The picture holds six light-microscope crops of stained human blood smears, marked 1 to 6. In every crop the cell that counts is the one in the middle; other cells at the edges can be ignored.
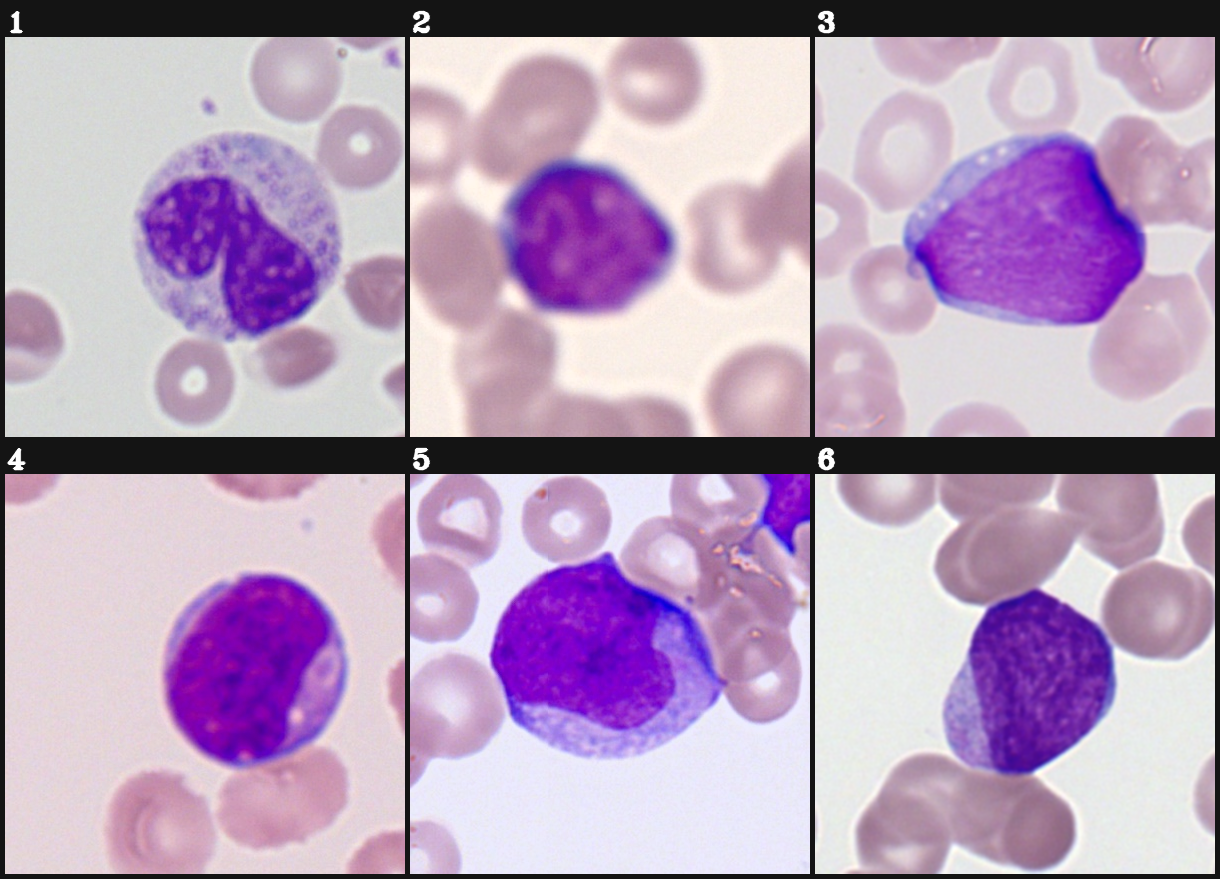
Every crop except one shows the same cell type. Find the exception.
1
